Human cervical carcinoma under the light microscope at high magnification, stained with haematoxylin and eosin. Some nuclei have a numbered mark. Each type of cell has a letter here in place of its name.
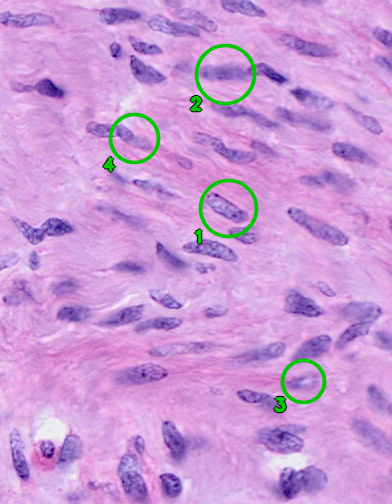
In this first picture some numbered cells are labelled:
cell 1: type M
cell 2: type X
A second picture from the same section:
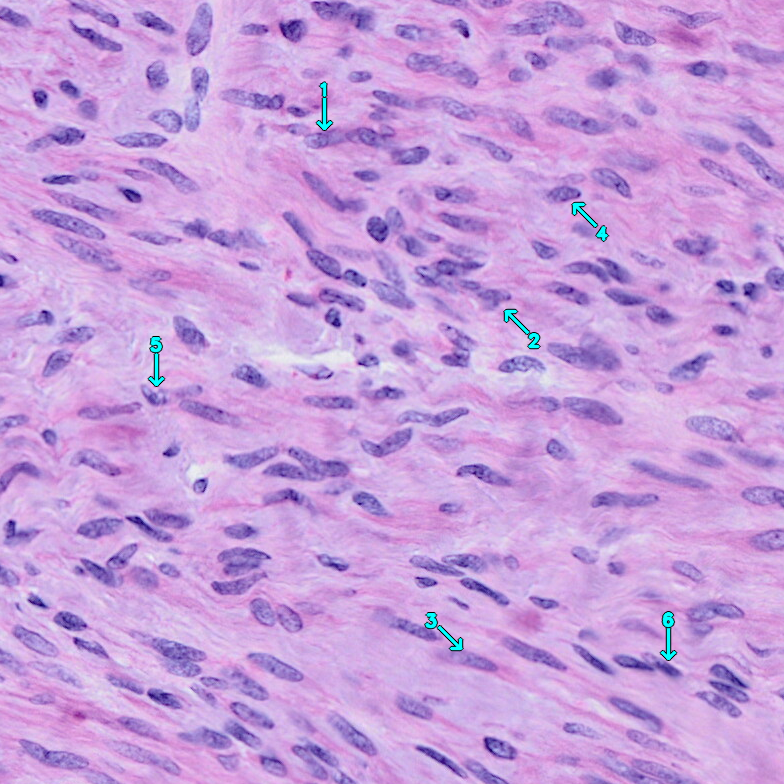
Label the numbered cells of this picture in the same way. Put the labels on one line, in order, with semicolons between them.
type M; type X; type M; type M; type M; type X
